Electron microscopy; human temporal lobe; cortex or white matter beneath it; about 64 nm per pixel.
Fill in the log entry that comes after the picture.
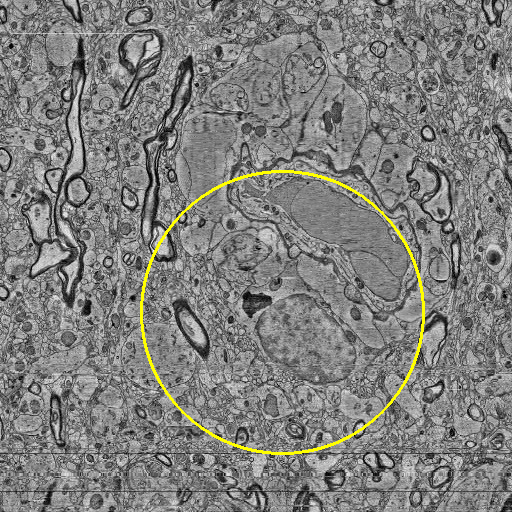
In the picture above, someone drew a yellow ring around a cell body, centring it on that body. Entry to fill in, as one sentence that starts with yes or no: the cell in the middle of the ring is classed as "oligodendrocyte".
Yes, the cell in the ring's centre in this image is of the stated kind.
